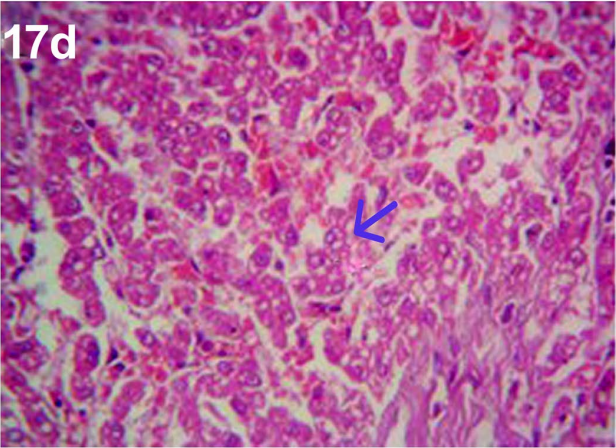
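Liver tissue showing hepatocytes, polygonal cells with round nuclei and pink cytoplasm, set in loose, irregular cords. Some hepatocytes have pale, finely vacuolated cytoplasm. The spaces between the cords are widened and contain many red blood cells.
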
